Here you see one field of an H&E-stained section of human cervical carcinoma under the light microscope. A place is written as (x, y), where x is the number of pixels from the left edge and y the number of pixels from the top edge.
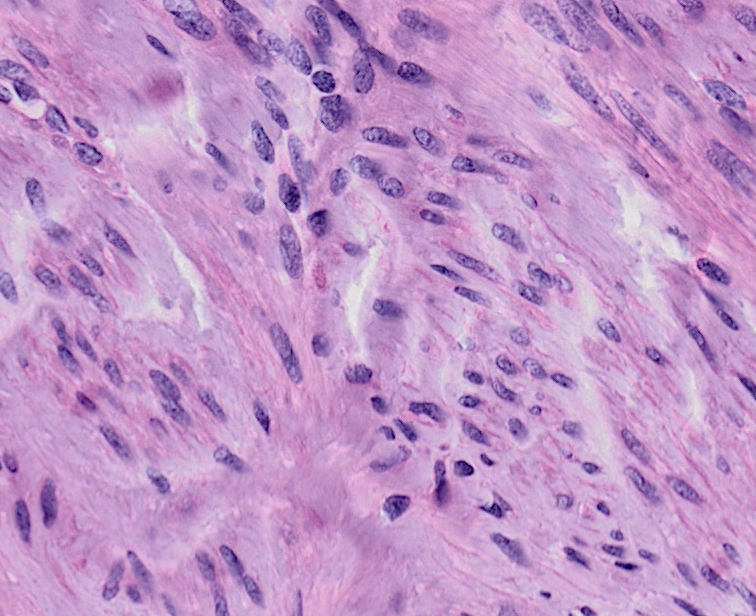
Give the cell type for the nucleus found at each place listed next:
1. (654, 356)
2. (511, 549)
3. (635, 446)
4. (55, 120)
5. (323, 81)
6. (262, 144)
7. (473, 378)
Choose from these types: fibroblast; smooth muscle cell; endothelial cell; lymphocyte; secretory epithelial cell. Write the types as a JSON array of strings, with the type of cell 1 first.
["smooth muscle cell", "fibroblast", "smooth muscle cell", "endothelial cell", "lymphocyte", "fibroblast", "smooth muscle cell"]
